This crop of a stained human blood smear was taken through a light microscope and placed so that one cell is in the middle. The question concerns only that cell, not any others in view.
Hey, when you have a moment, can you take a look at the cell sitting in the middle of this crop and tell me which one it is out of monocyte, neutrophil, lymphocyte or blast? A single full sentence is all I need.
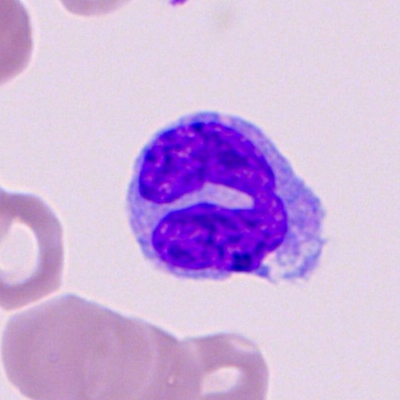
Positioned in the middle of the crop is a monocyte.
